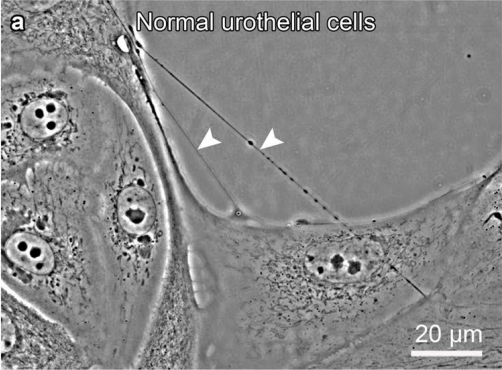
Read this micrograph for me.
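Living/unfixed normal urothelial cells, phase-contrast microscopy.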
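The cells are large and spread out, each with an oval nucleus that holds several dark, prominent nucleoli. The cytoplasm around the nucleus is finely granular, while the edges of the cells thin out into smooth, pale lamellae with bright borders. The connecting strand runs diagonally from the edge of one cell to another, is much thinner than any part of a cell body, and carries small dark beads along its length.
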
